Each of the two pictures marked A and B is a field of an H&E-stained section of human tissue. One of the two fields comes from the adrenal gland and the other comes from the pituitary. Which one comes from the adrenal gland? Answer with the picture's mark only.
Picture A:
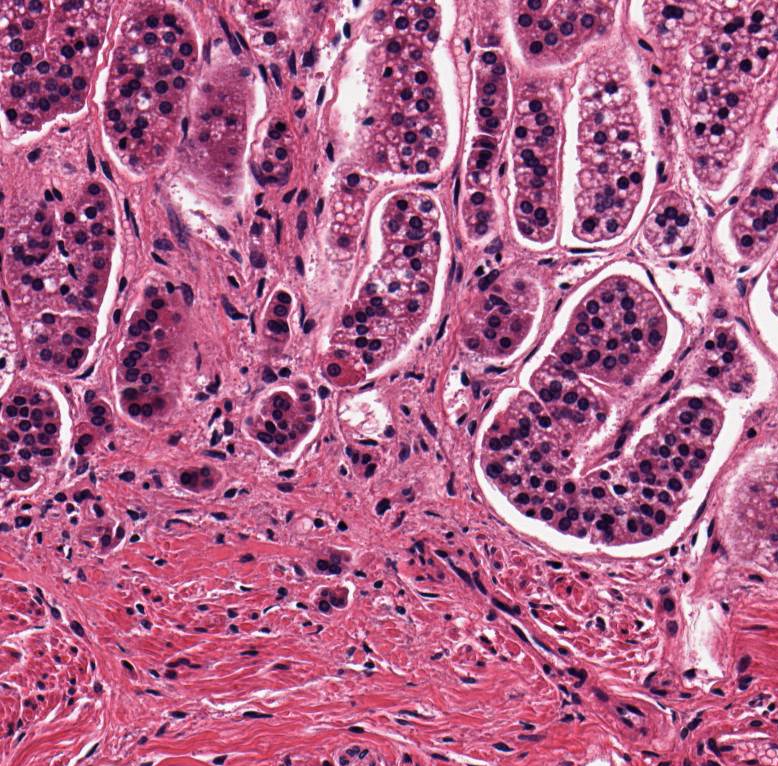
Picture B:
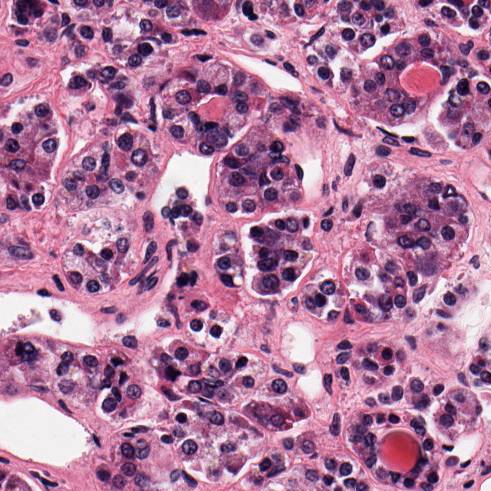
A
